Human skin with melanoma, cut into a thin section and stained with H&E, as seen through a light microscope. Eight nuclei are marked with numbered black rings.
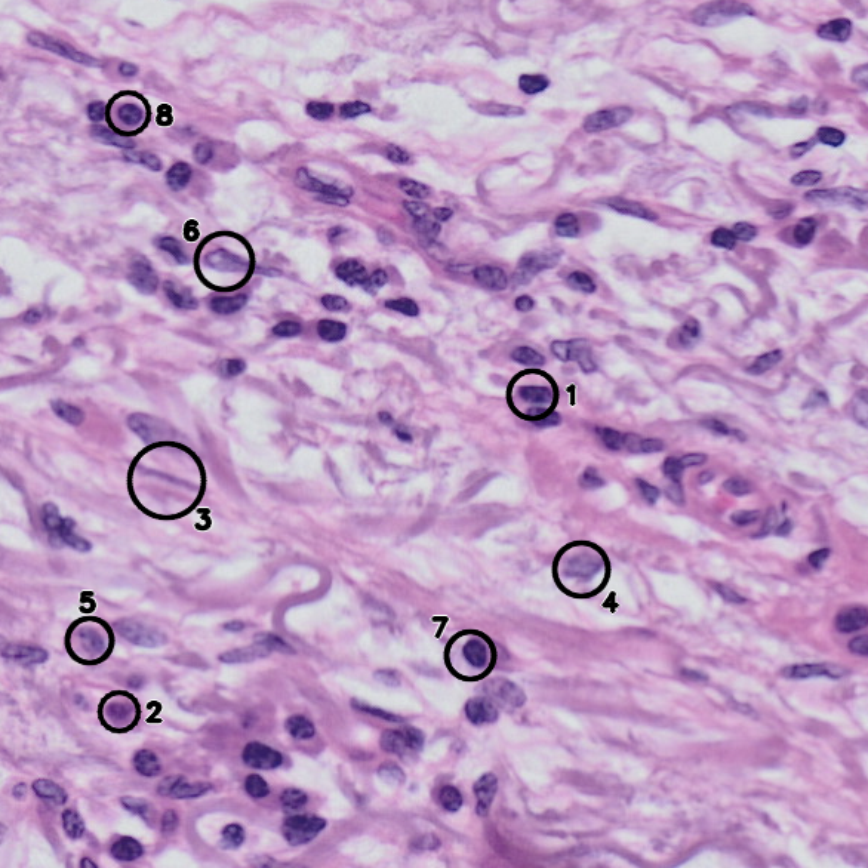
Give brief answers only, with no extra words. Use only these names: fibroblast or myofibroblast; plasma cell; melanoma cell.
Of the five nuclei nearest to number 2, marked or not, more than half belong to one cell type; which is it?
plasma cell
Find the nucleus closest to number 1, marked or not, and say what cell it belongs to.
plasma cell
